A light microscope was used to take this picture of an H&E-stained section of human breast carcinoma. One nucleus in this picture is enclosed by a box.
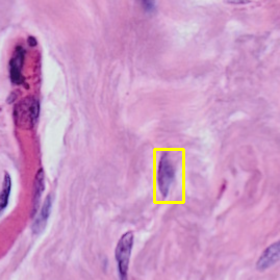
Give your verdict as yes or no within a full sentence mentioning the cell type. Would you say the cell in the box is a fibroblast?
Yes, the cell in the box is rightly regarded as a fibroblast.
